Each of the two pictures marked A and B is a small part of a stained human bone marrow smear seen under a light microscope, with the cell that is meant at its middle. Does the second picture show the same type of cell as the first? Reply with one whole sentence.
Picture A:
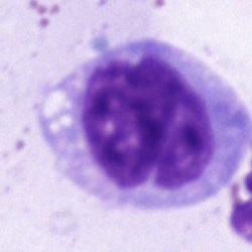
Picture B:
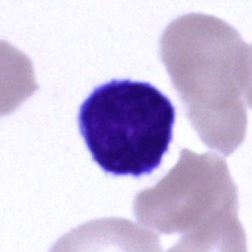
No; the cell in picture A is a monocyte, while the one in picture B is a lymphocyte.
